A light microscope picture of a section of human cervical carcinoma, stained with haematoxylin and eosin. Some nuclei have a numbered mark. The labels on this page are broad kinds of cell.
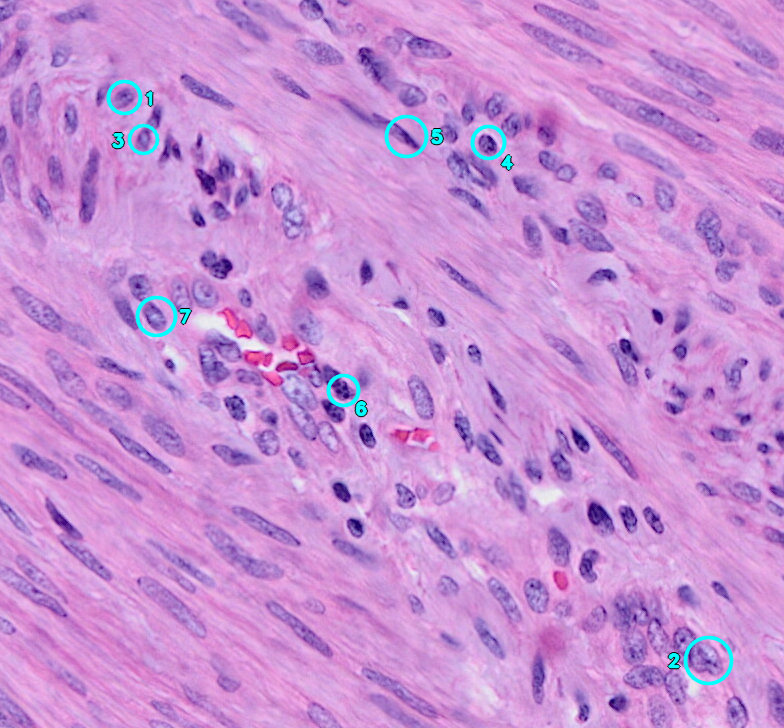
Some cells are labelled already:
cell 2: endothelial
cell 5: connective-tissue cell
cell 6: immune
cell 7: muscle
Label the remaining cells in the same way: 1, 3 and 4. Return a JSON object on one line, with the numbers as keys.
{"1": "muscle", "3": "muscle", "4": "immune"}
